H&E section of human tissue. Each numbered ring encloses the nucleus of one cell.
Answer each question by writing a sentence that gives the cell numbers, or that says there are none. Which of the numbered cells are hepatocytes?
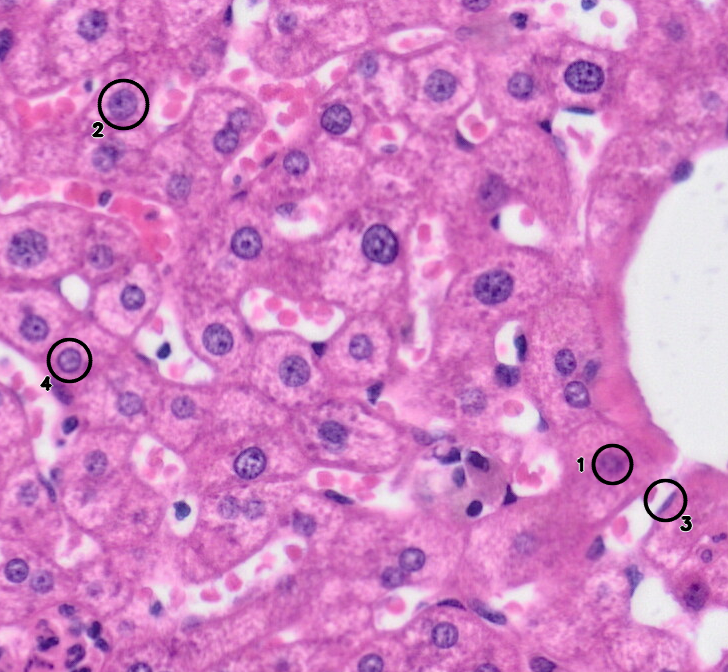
Cells 1, 2 and 4 are recognised here as hepatocytes.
